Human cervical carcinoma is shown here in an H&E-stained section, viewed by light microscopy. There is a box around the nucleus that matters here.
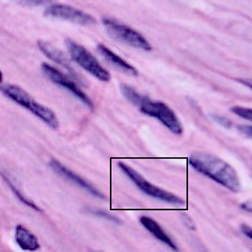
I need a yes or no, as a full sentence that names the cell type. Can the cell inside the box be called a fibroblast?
Yes, a fibroblast is what the cell inside the box is in this section.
